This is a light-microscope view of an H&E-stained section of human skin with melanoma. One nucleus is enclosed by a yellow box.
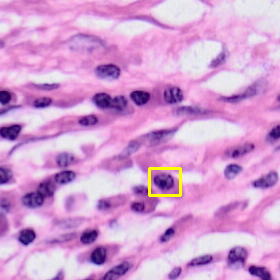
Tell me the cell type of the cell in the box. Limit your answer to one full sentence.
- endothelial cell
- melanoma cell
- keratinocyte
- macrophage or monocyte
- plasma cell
As far as its identity is concerned, the cell in the box is a plasma cell.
